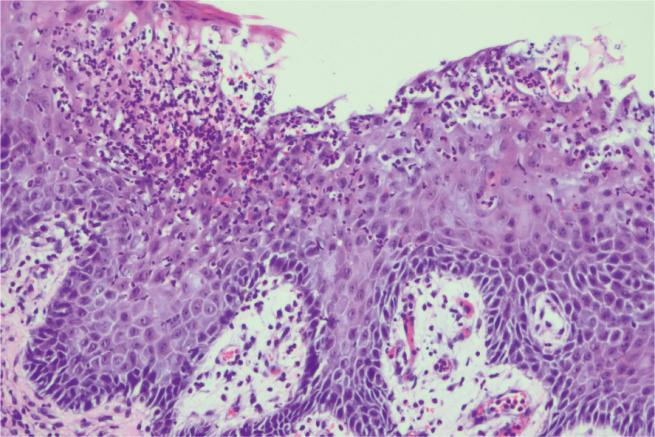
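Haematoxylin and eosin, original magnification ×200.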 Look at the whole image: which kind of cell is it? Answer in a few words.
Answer: Neutrophil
